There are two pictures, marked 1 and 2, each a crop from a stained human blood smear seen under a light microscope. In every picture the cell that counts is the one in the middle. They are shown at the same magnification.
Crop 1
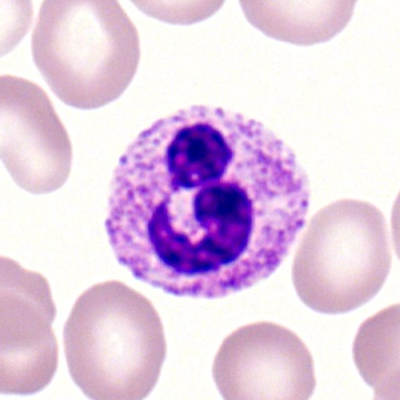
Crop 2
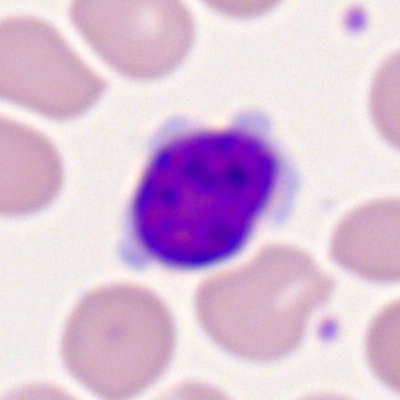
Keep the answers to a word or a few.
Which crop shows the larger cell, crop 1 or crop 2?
1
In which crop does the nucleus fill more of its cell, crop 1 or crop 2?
2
